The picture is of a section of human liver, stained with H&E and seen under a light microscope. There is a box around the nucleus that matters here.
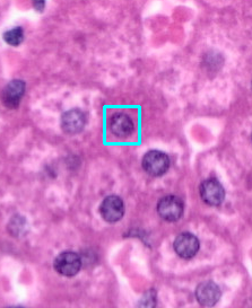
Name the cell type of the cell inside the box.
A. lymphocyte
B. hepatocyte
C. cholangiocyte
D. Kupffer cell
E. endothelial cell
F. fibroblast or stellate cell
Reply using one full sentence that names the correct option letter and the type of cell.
Option B is correct; the cell inside the box is a hepatocyte.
